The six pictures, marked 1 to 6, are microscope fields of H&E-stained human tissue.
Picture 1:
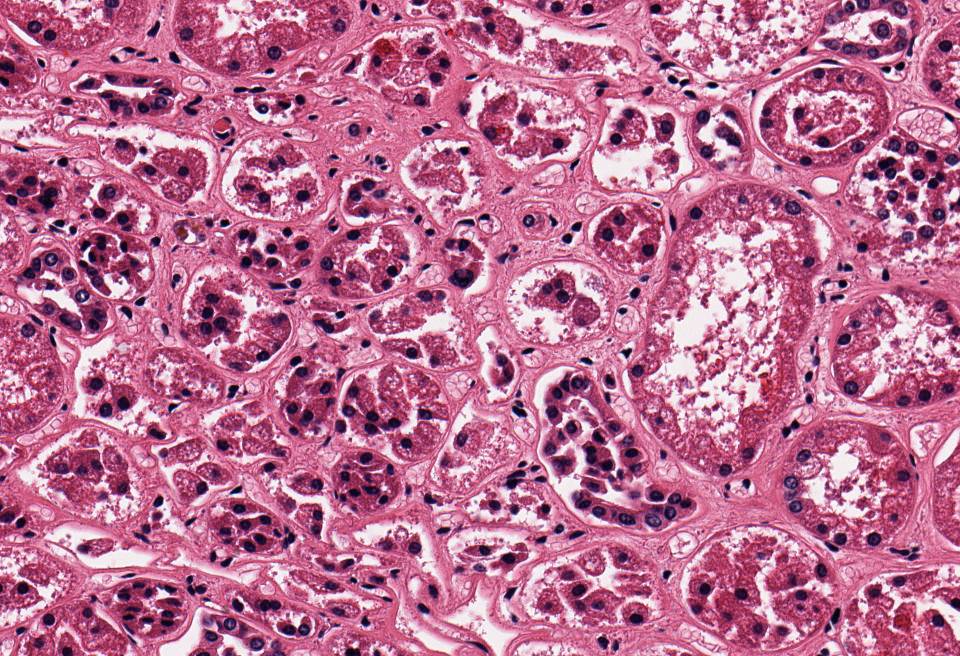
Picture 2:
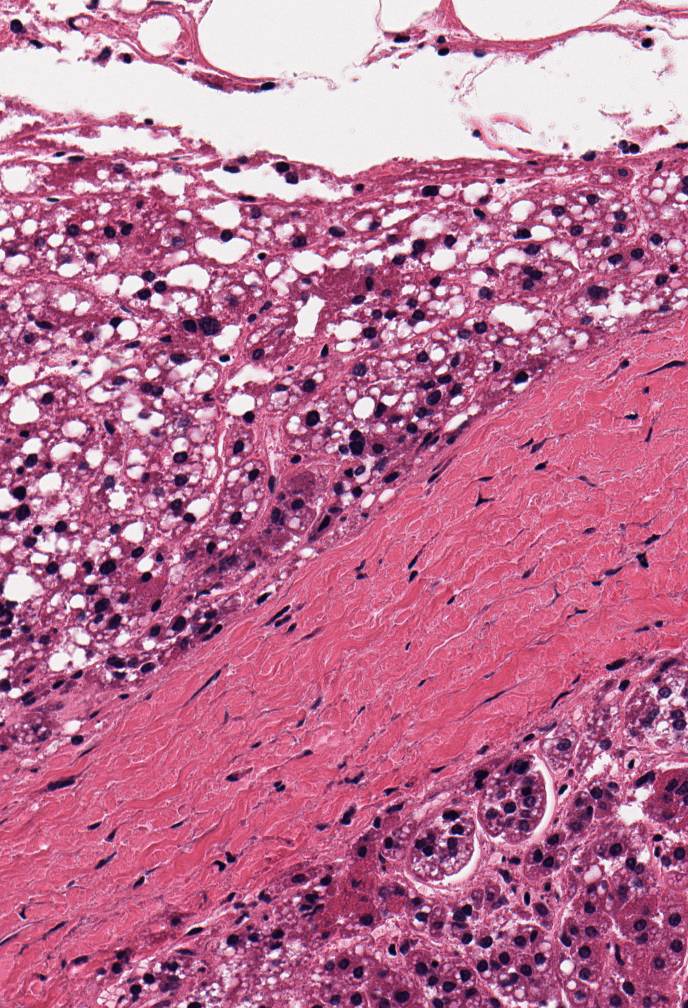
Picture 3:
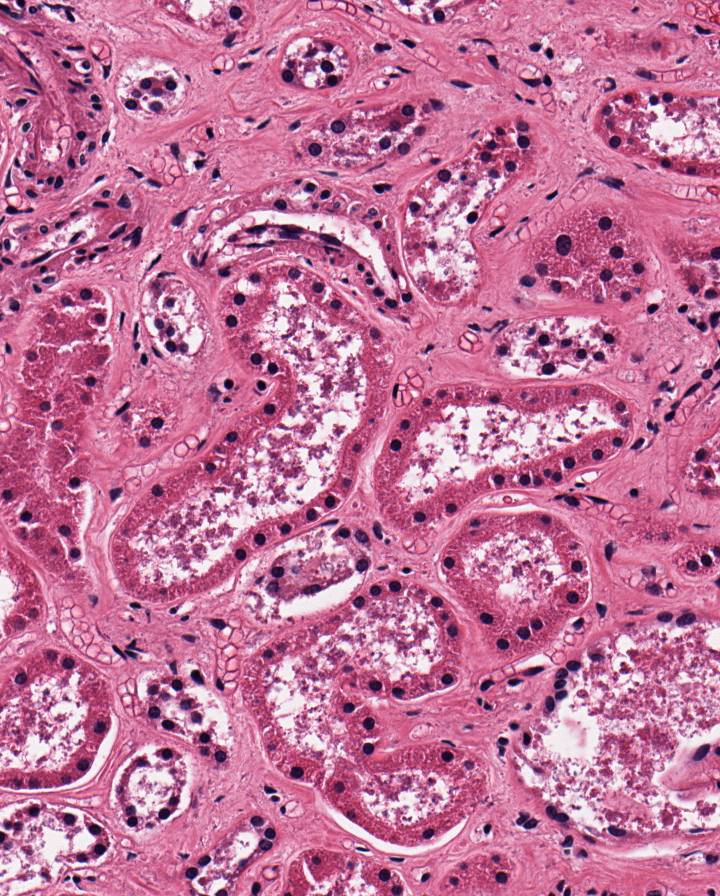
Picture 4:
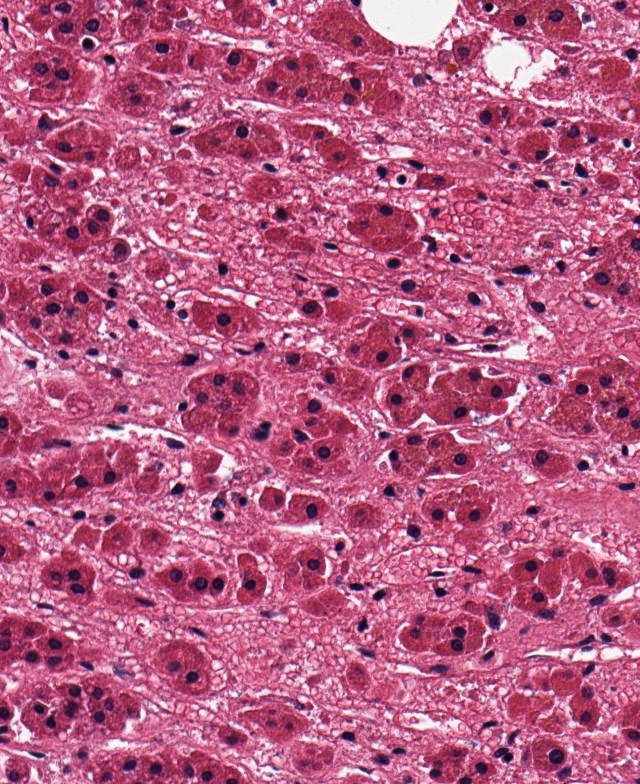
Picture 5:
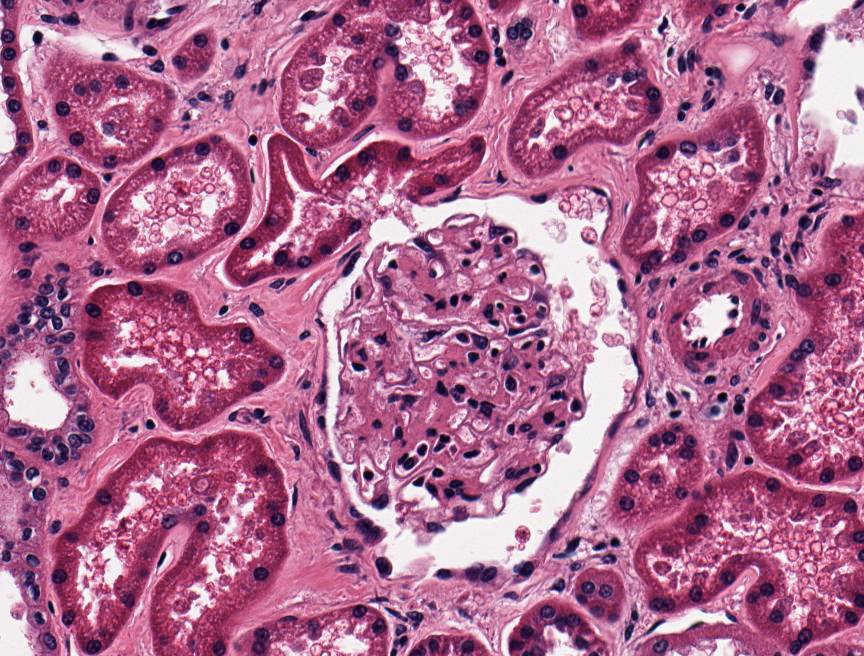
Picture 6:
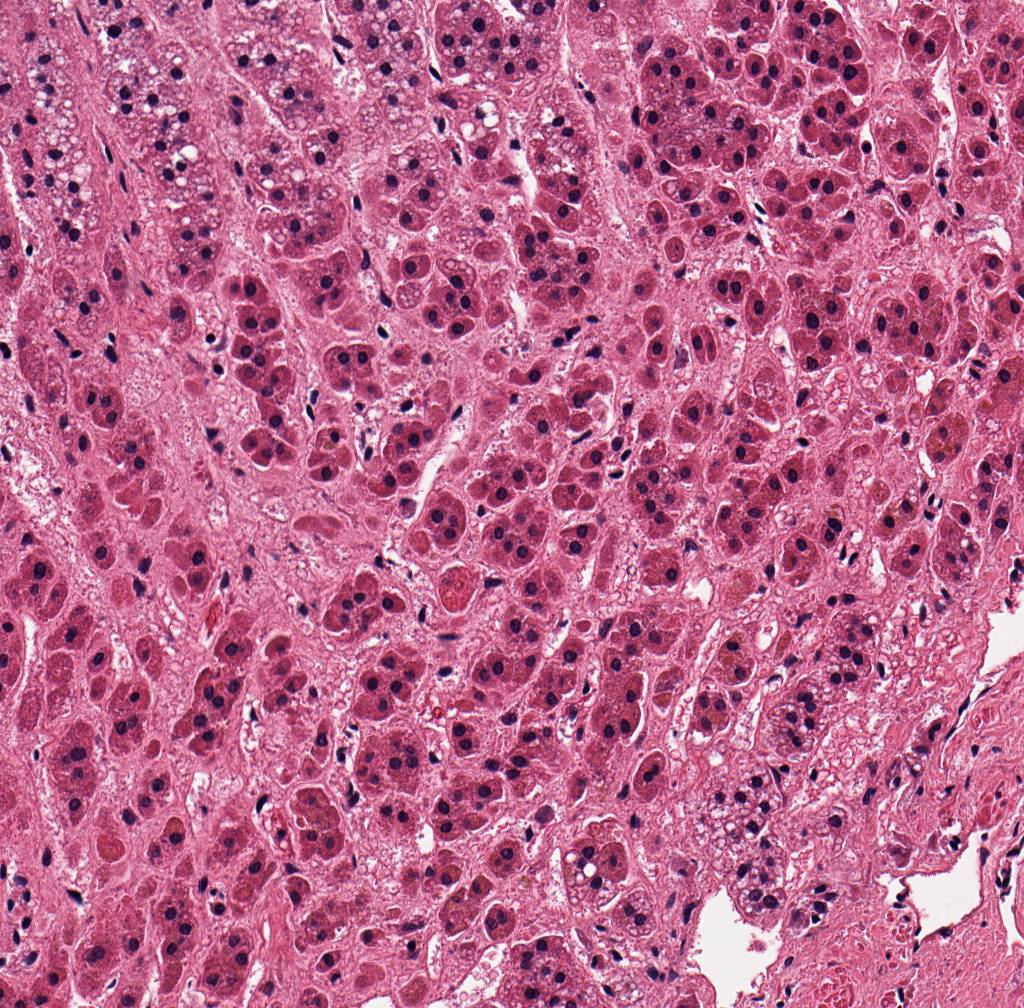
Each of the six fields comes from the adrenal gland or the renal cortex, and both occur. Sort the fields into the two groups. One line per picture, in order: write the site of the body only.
renal cortex
adrenal gland
renal cortex
adrenal gland
renal cortex
adrenal gland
